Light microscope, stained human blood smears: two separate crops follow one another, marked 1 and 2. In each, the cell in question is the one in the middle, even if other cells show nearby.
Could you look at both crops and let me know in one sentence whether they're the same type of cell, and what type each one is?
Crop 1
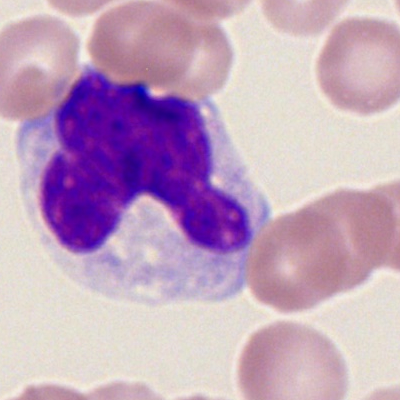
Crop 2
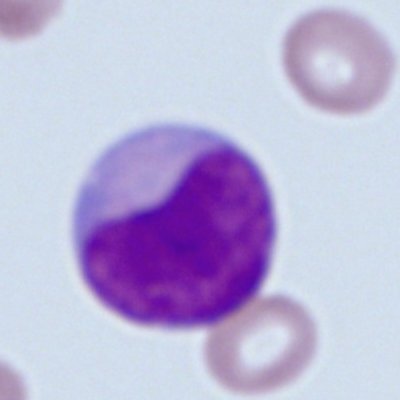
No, the cell in crop 1 is a monocyte, and the cell in crop 2 is a myeloblast.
